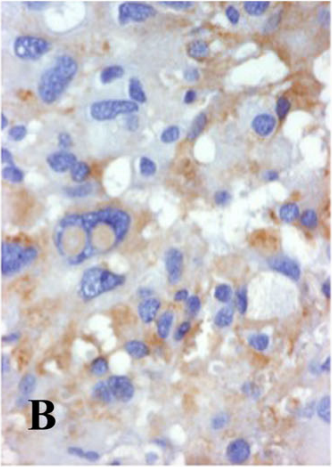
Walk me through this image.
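Brown stain is uneven, strong in some cytoplasm and faint in other areas. Many clear round spaces are scattered among the cells.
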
